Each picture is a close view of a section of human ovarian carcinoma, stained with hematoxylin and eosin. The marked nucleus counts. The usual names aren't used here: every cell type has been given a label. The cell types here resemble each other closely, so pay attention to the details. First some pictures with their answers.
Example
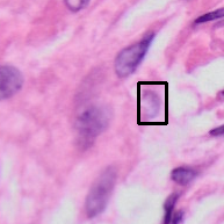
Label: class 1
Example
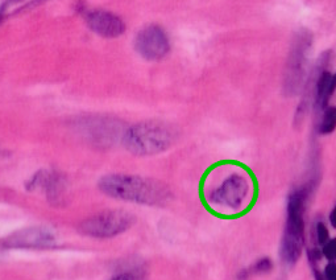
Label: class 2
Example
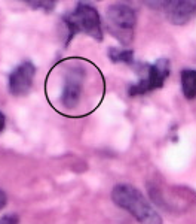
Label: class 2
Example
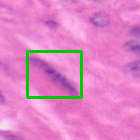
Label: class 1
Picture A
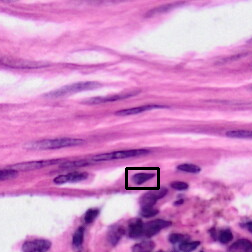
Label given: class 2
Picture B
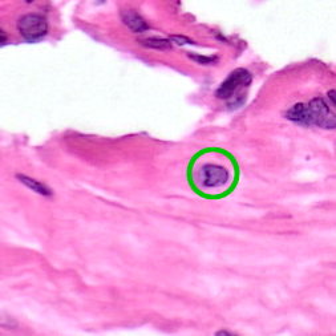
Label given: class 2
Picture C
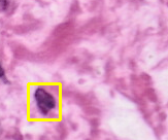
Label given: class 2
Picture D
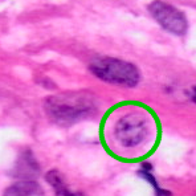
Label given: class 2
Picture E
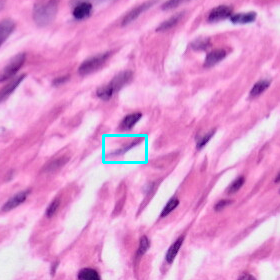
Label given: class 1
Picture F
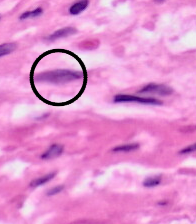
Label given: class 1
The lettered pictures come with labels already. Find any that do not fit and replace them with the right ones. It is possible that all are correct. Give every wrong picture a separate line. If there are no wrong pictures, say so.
Every label is right.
